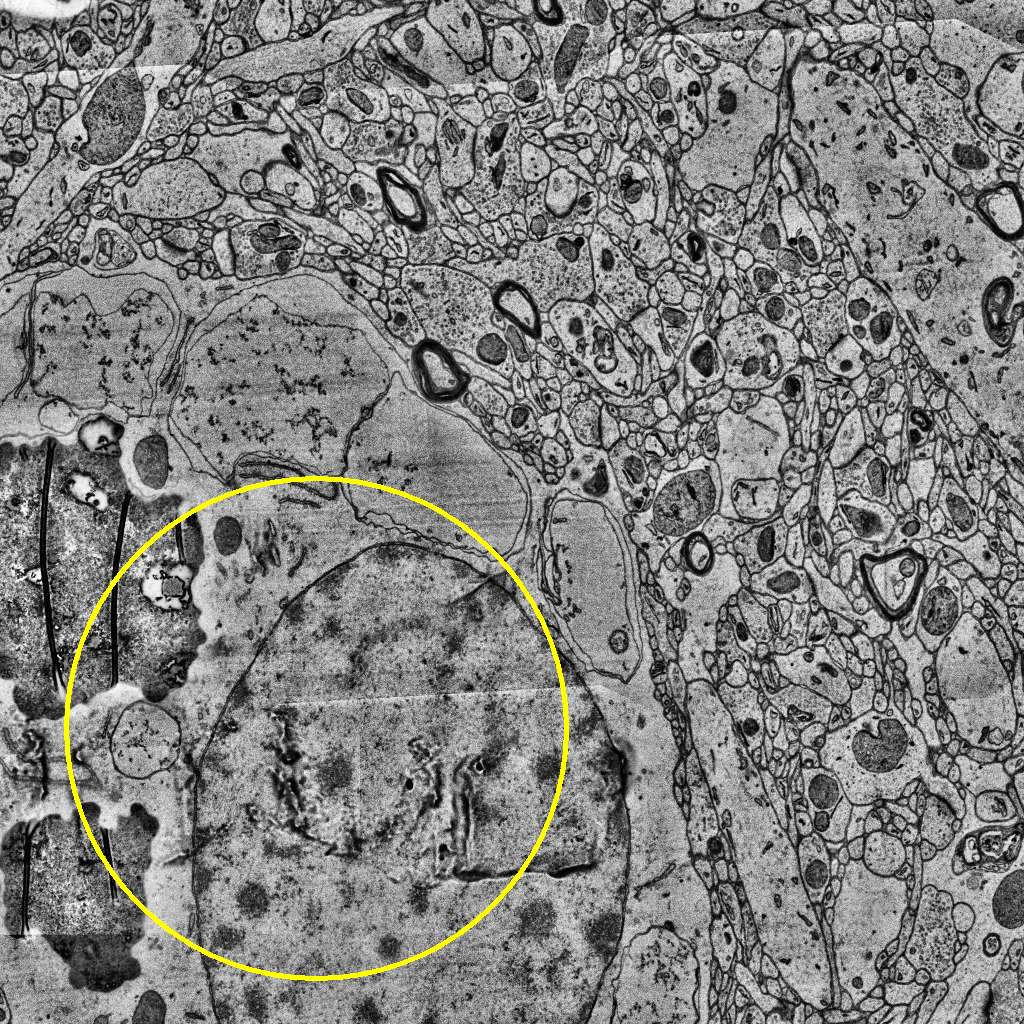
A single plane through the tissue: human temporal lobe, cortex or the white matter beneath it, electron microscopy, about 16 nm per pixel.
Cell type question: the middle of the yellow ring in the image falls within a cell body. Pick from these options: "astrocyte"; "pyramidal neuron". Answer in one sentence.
The cell body at the center of the ring belongs to an astrocyte.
